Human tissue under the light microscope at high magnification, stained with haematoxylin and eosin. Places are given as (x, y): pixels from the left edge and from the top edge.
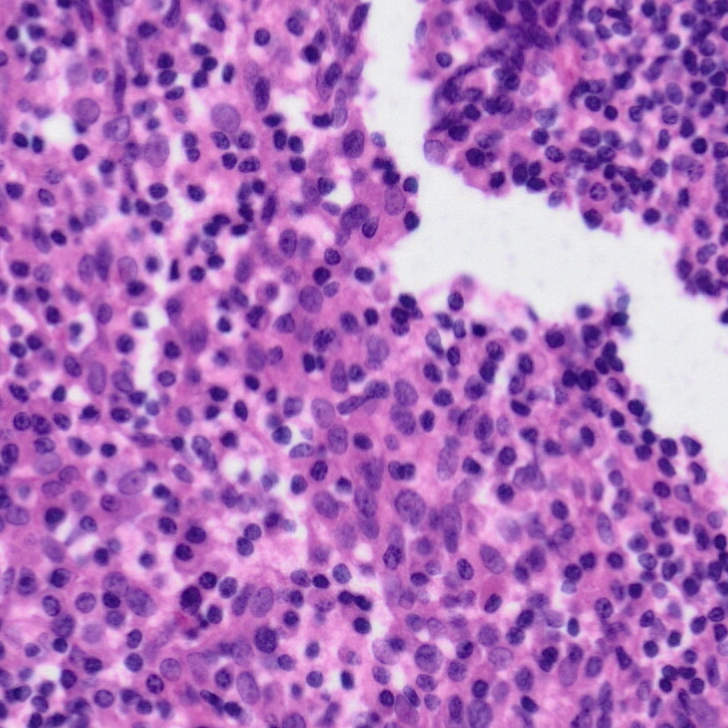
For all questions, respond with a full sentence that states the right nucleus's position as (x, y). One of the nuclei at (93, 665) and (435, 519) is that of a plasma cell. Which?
The nucleus of a plasma cell lies at (93, 665), not at the other position.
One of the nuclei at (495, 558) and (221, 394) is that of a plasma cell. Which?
The nucleus whose cell is a plasma cell is the one at (221, 394).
